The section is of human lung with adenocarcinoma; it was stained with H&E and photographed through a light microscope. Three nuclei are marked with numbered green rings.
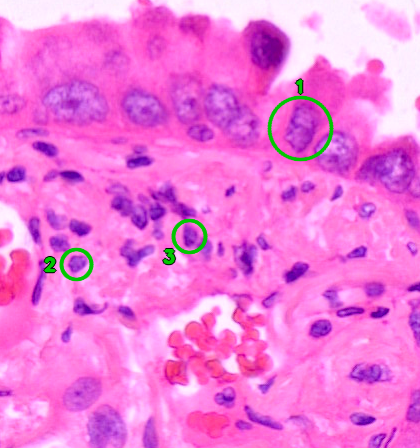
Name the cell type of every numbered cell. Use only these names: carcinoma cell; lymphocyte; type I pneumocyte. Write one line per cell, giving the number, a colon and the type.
1: carcinoma cell
2: lymphocyte
3: lymphocyte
